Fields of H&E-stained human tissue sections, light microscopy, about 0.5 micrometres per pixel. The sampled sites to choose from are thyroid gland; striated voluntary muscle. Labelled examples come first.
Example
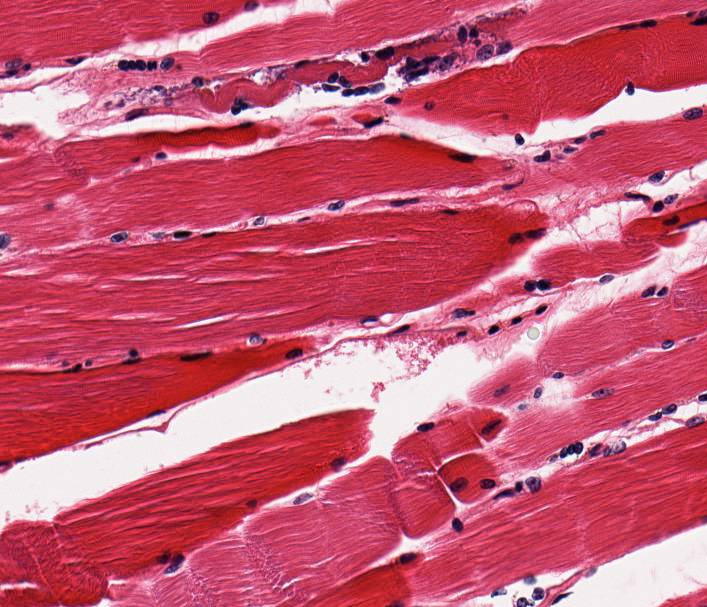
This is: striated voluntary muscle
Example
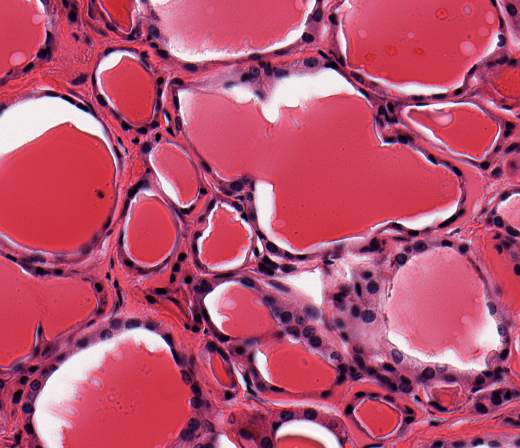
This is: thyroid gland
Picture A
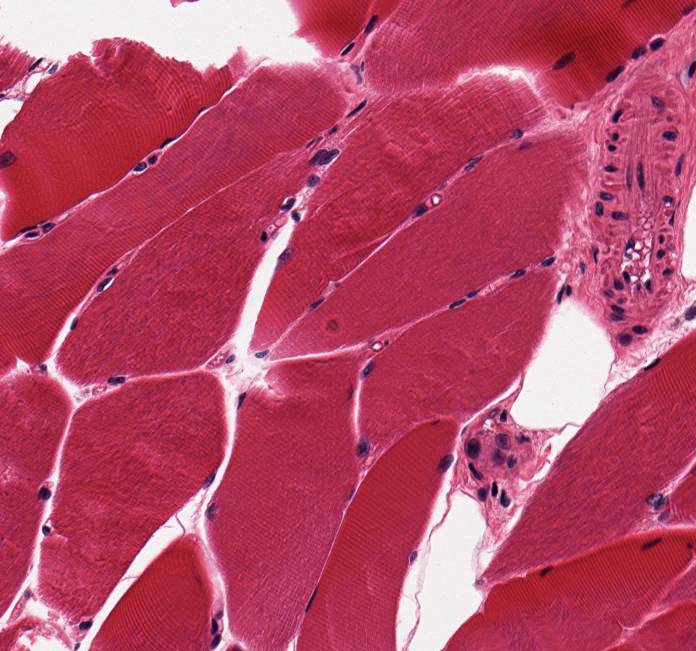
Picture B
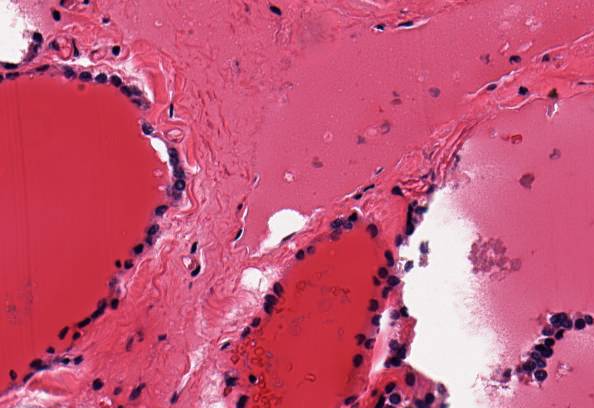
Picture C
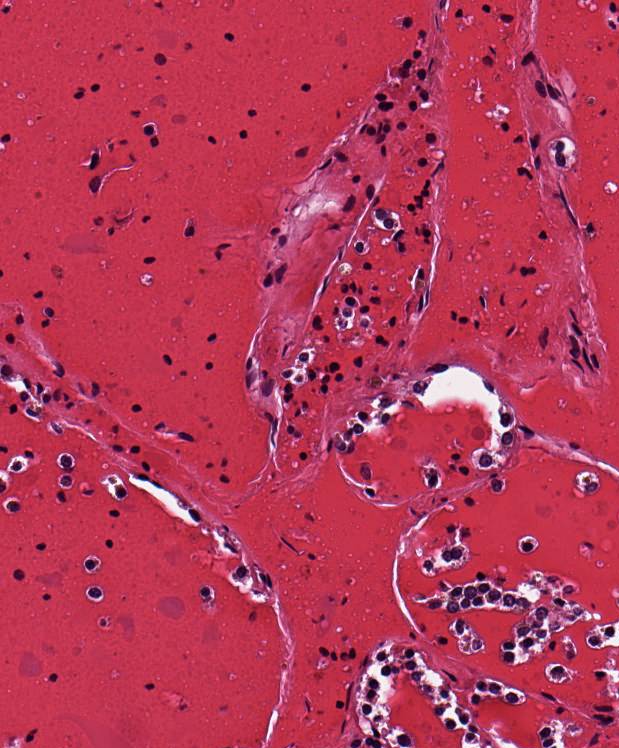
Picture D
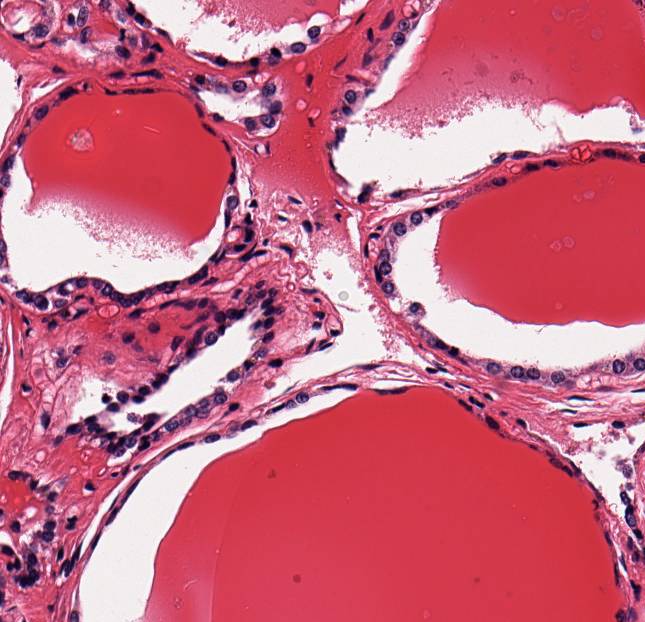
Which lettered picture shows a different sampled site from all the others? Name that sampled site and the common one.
Picture A: striated voluntary muscle. All others: thyroid gland.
